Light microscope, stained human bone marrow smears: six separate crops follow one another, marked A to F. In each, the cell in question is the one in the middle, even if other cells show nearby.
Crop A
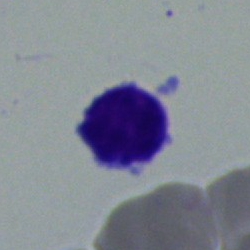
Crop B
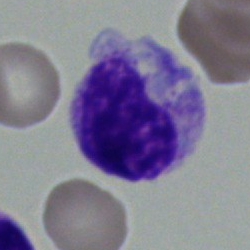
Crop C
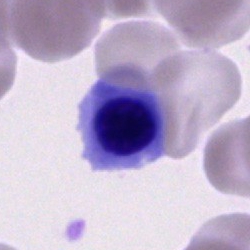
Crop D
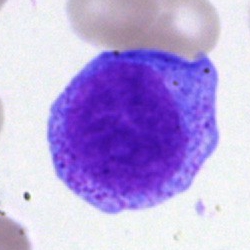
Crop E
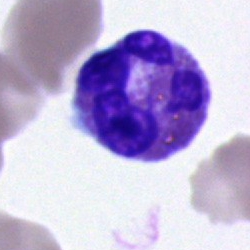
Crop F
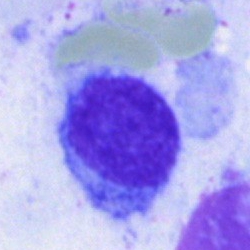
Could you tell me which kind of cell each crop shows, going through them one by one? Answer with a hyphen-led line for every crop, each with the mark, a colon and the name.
- A: lymphocyte
- B: metamyelocyte
- C: normoblast
- D: promyelocyte
- E: eosinophil
- F: hairy cell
